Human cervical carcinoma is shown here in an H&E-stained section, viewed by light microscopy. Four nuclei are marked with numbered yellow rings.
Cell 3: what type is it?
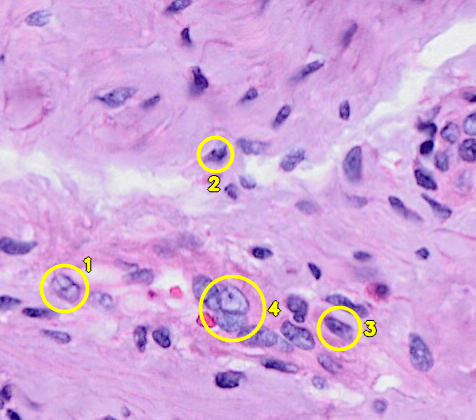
smooth muscle cell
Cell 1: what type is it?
endothelial cell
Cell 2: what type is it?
fibroblast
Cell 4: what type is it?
endothelial cell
